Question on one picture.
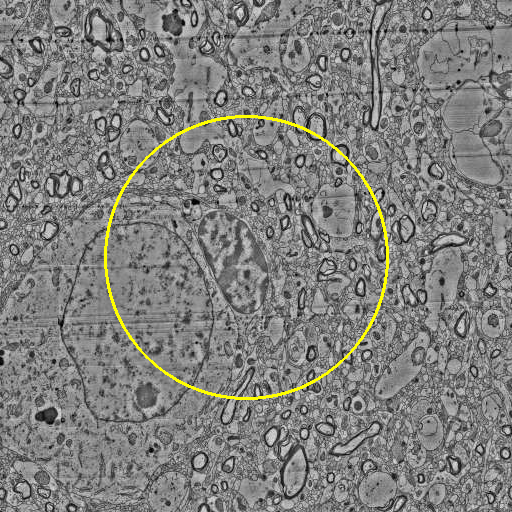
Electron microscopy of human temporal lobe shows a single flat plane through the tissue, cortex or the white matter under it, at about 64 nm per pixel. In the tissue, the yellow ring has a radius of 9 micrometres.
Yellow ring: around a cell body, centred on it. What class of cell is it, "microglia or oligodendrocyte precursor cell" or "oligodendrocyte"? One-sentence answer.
This is a microglial cell or oligodendrocyte precursor cell, the cell the ring is centred on.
